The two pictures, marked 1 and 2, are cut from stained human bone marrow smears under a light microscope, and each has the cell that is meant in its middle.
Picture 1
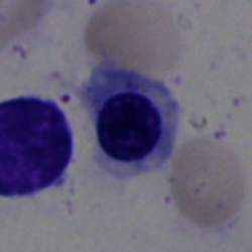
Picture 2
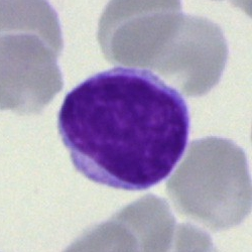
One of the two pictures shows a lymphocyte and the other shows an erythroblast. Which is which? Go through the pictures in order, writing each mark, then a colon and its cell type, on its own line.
1: erythroblast
2: lymphocyte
